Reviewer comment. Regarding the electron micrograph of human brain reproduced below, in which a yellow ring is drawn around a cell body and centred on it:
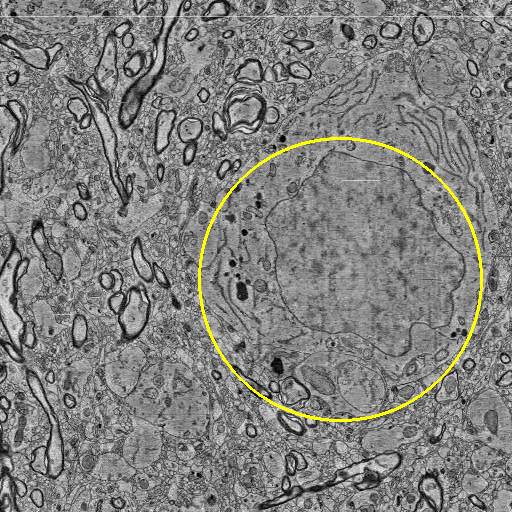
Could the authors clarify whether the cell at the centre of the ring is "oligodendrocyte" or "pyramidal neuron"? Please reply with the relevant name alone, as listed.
pyramidal neuron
